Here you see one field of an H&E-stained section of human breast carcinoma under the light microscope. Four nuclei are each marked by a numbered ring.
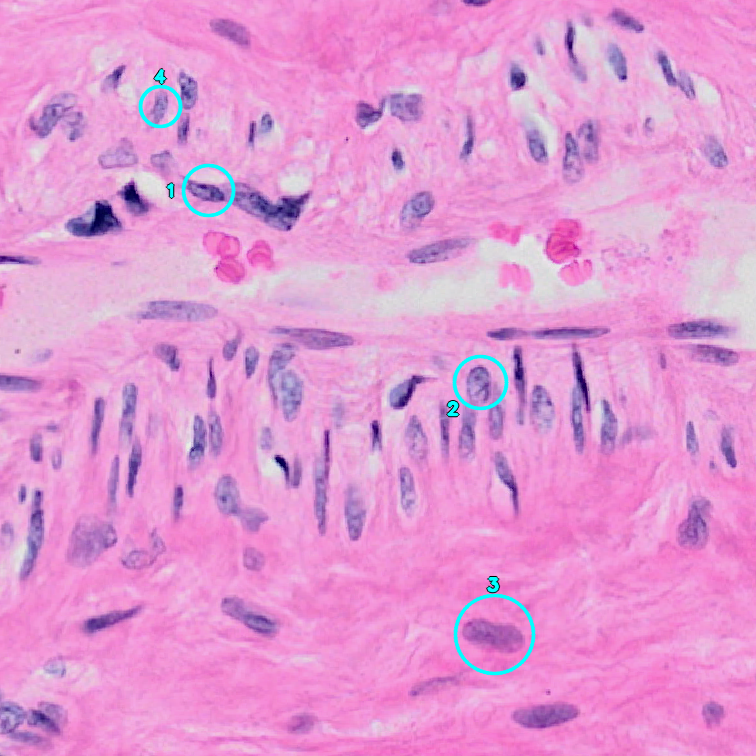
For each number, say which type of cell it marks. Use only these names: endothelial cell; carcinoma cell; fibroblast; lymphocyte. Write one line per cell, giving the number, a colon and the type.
1: endothelial cell
2: endothelial cell
3: fibroblast
4: endothelial cell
